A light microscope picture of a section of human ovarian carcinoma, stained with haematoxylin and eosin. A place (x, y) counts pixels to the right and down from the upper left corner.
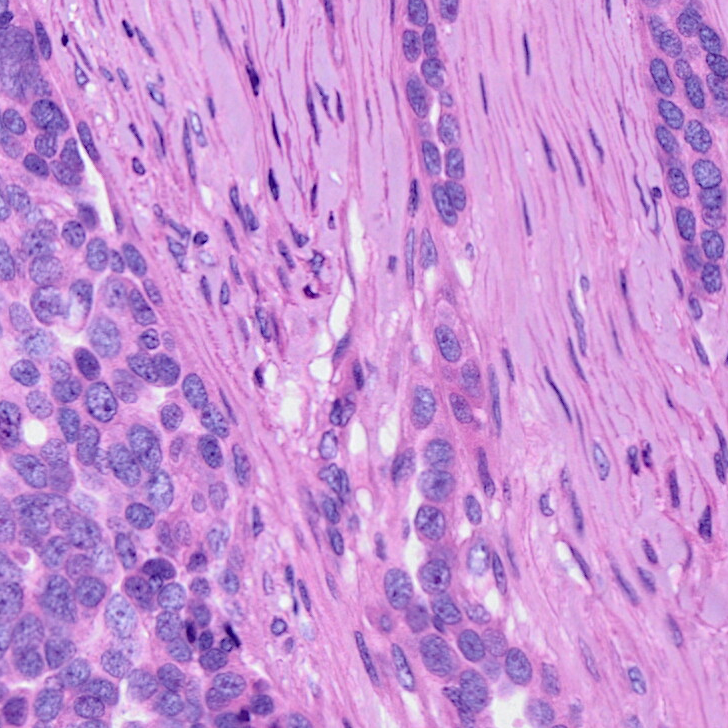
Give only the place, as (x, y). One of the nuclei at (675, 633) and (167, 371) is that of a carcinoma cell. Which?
(167, 371)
